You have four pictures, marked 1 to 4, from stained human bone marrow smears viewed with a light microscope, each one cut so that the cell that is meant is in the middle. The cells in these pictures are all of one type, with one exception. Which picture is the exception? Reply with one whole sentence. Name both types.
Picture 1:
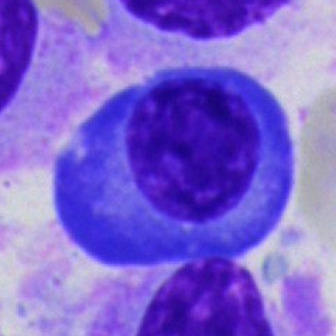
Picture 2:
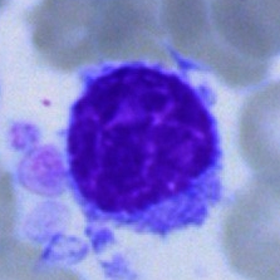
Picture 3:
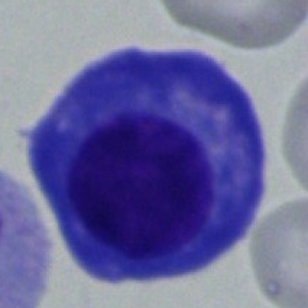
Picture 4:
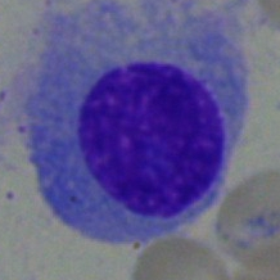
Picture 2 differs, because its cell is a hairy cell and the rest are plasma cells.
